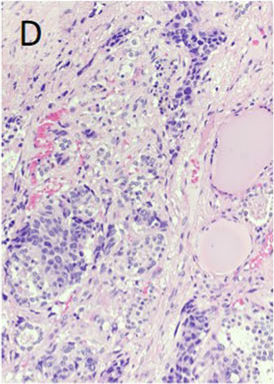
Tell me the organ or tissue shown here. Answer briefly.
thyroid parenchyma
